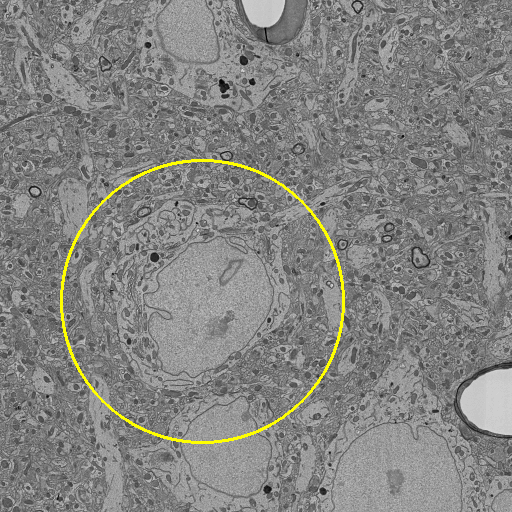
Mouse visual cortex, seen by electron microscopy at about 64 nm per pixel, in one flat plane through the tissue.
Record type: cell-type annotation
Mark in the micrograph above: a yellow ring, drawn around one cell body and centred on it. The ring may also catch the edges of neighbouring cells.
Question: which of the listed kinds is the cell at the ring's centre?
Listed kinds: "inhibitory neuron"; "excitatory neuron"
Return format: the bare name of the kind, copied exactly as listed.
inhibitory neuron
